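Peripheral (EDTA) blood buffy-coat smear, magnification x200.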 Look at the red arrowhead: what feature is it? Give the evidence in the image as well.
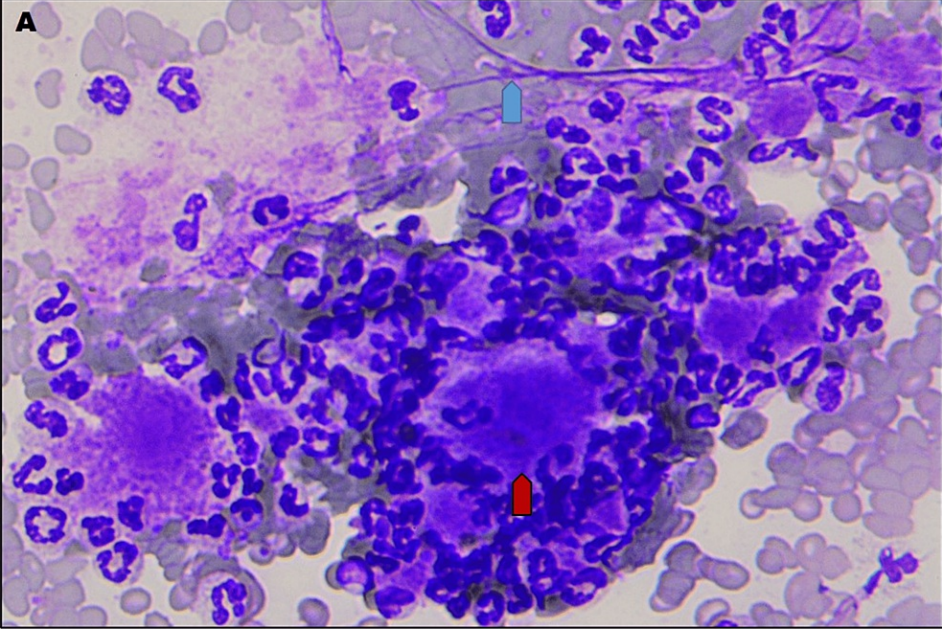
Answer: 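A large pale purple granular mass lies at the centre. Many segmented-nucleus white cells crowd tightly around and over the granular mass.
Hence: platelet-leukocyte aggregates.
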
